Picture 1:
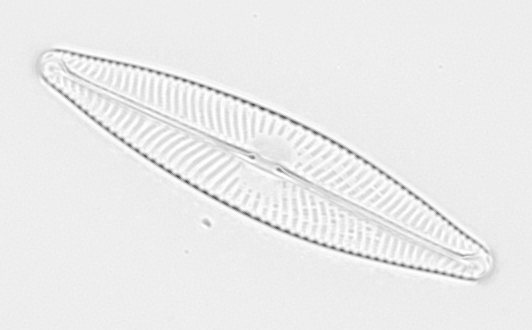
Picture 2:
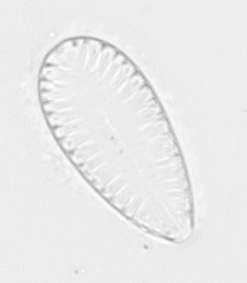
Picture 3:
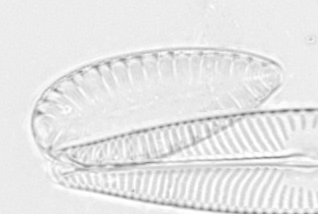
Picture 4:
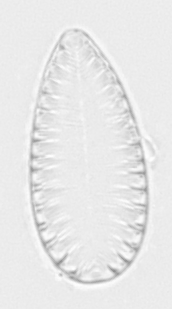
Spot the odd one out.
Picture 1 (Navicula among Surirella).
